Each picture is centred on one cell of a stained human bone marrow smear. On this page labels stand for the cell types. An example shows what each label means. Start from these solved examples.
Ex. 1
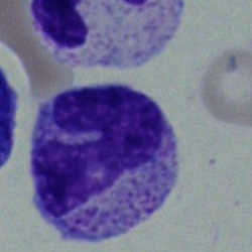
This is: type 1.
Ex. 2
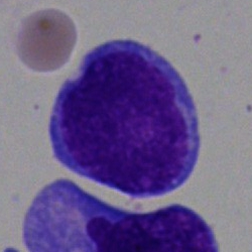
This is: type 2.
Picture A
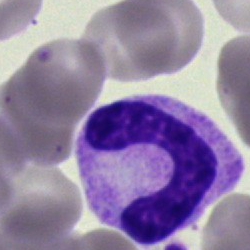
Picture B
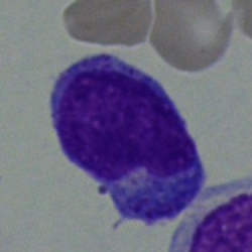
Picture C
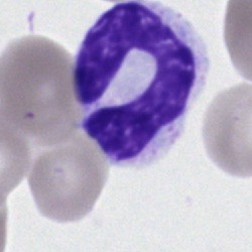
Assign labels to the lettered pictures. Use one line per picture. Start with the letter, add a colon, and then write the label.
A: type 1.
B: type 2.
C: type 1.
